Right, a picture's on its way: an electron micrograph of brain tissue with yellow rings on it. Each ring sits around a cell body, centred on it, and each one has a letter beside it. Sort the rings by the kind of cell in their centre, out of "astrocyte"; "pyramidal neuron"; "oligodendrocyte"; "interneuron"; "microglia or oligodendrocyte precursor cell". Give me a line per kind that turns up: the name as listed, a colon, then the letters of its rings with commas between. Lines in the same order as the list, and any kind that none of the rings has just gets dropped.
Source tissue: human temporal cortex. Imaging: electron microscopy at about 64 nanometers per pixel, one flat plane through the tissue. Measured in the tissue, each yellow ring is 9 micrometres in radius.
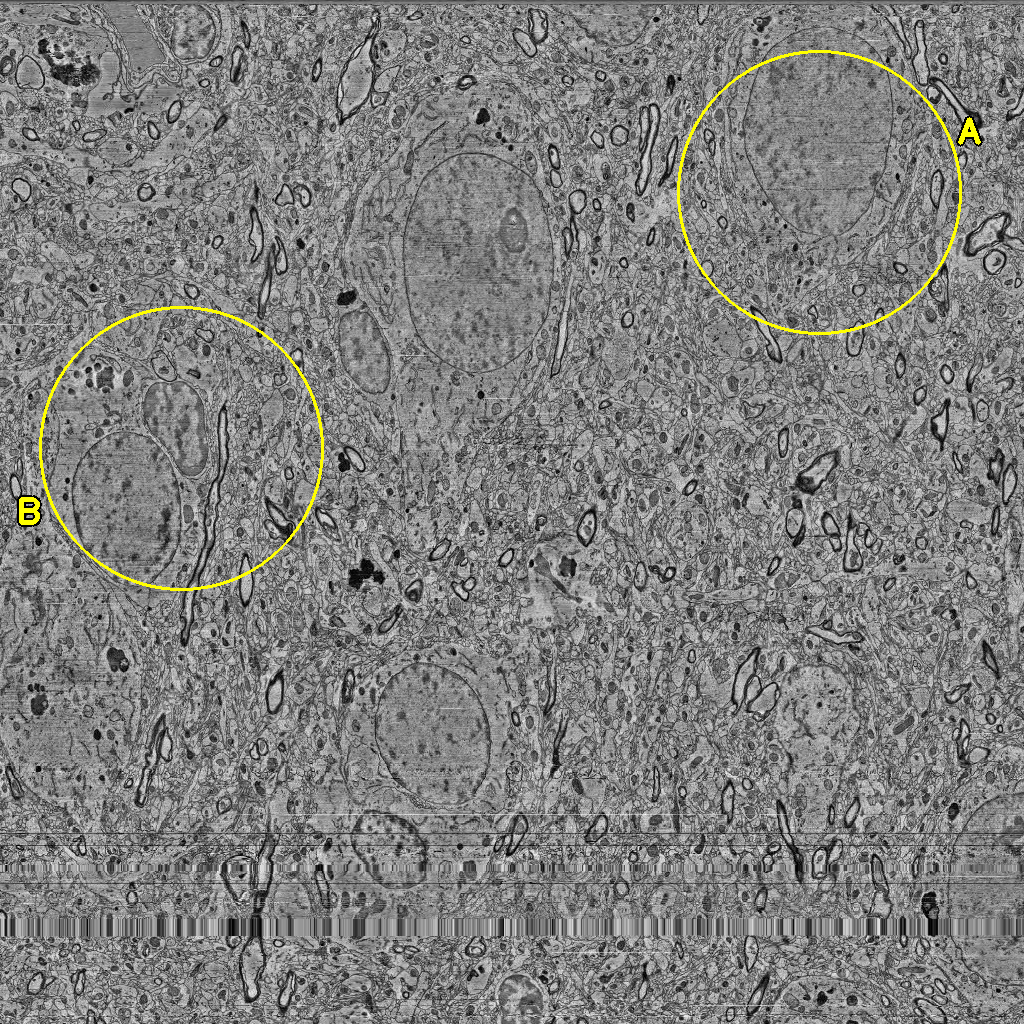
pyramidal neuron: A
microglia or oligodendrocyte precursor cell: B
